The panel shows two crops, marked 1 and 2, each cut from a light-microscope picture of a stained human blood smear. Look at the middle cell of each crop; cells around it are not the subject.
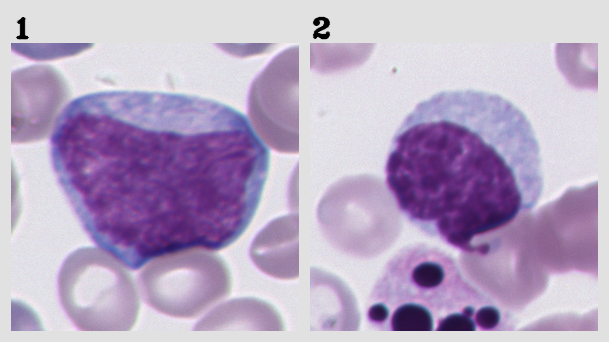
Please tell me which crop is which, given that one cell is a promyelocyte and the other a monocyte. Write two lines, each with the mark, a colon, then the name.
1: promyelocyte
2: monocyte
